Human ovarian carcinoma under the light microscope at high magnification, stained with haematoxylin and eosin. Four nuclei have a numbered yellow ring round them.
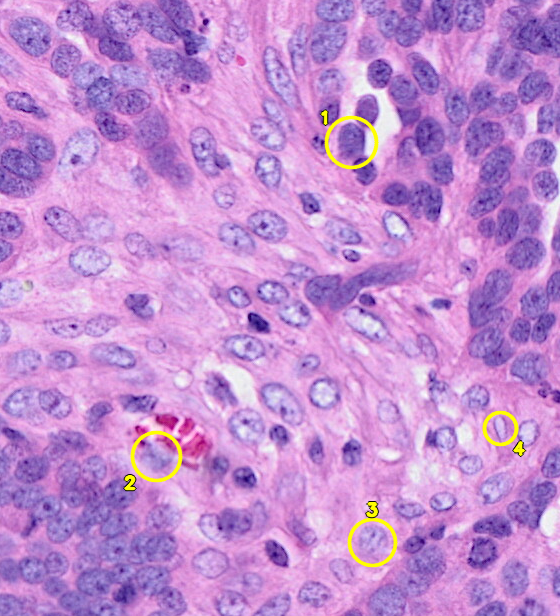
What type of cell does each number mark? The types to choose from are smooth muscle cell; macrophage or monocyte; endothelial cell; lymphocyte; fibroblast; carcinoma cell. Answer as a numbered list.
1. carcinoma cell
2. endothelial cell
3. fibroblast
4. fibroblast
